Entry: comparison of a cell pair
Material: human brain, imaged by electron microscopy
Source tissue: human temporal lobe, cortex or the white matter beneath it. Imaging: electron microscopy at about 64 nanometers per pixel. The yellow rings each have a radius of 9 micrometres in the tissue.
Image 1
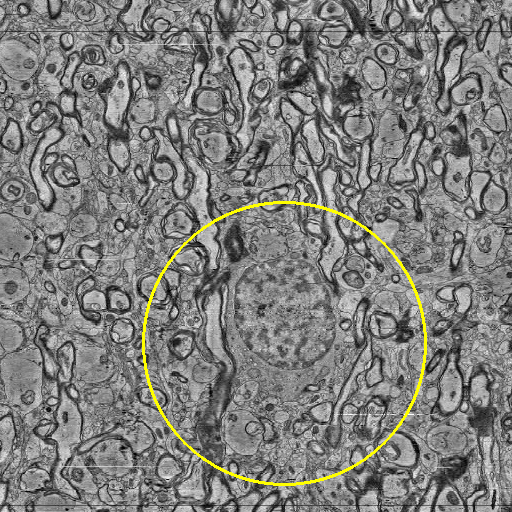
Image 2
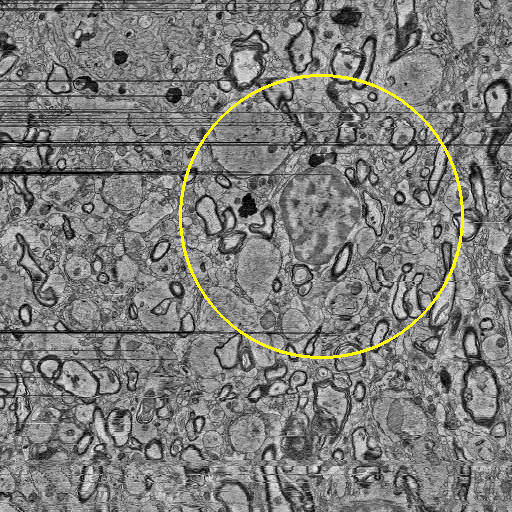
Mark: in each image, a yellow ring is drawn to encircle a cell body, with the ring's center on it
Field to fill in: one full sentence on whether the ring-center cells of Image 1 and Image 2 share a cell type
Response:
No, Image 1 and Image 2 show ring-center cells of two separate types.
